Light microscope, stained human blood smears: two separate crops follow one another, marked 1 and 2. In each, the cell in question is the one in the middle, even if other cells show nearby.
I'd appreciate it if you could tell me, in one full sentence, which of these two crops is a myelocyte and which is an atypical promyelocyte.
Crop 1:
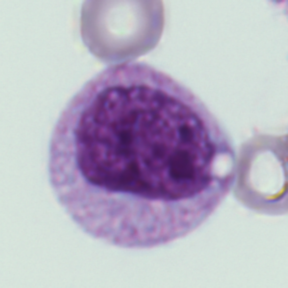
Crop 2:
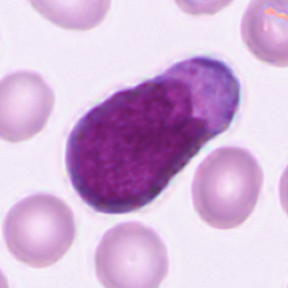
Crop 1 shows a myelocyte, whereas crop 2 shows an atypical promyelocyte.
